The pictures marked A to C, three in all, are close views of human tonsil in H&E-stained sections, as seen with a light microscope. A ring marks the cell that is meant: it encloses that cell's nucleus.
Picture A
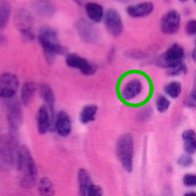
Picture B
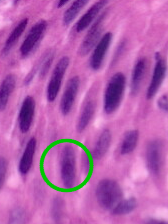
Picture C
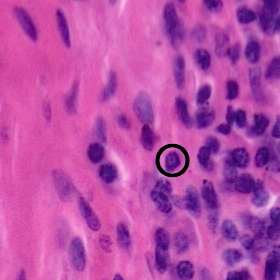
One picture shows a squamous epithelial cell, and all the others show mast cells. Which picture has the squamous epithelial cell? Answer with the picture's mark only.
B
